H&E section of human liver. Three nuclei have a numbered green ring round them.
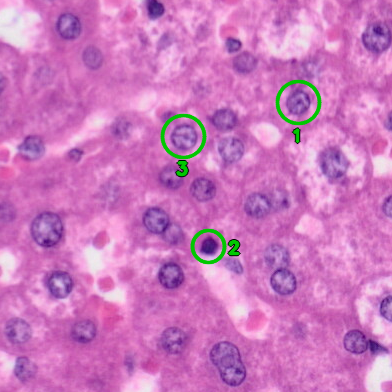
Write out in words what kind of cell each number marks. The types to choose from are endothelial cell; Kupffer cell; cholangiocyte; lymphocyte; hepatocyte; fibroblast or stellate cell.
Cell 1 is a hepatocyte, cell 2 is a lymphocyte and cell 3 is a hepatocyte.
